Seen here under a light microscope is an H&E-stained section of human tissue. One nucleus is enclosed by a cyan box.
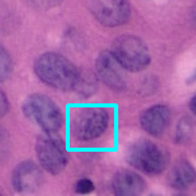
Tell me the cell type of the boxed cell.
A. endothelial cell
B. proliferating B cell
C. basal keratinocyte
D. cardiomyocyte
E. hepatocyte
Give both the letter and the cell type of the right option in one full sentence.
The correct choice is option C; the boxed cell is a basal keratinocyte.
